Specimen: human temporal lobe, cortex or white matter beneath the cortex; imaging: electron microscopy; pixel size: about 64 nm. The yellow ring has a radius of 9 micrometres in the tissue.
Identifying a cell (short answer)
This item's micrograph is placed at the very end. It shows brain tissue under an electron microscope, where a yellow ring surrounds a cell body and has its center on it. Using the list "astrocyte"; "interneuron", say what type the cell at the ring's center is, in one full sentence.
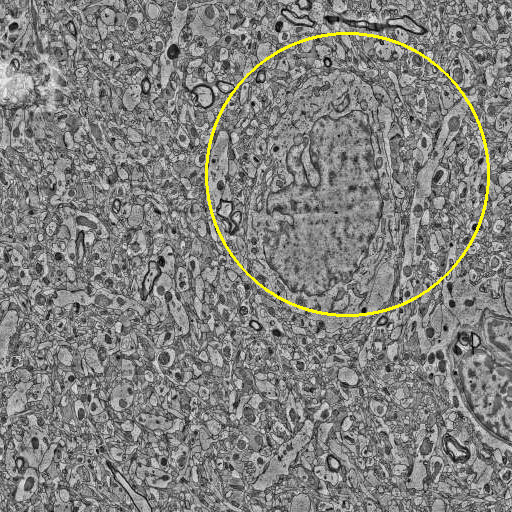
This picture shows an interneuron at the center of the yellow ring drawn on it.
